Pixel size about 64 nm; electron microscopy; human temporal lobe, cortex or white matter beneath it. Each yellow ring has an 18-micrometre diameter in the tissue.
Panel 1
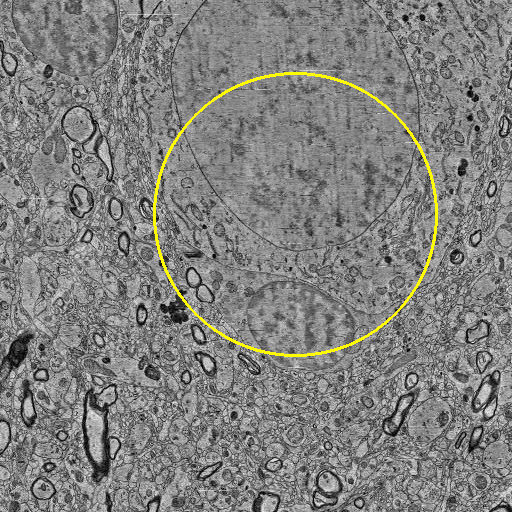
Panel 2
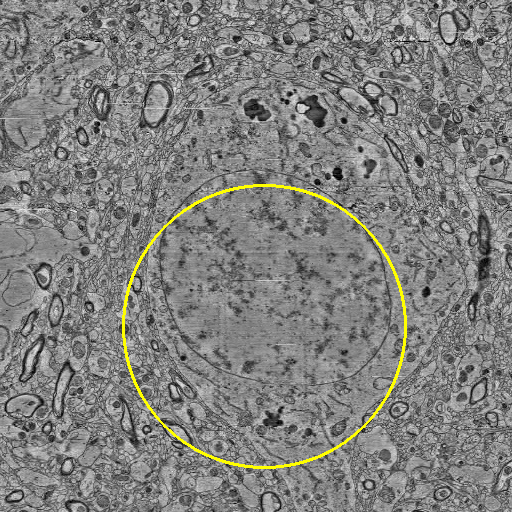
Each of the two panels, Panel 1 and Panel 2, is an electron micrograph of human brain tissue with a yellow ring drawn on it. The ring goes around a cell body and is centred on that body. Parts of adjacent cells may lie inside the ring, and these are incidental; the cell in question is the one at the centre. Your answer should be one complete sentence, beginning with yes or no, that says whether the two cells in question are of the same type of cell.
Yes, the two cells are of the same type.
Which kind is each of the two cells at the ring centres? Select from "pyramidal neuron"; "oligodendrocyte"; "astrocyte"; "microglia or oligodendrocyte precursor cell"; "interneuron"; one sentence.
The second cell is a pyramidal neuron, just as the first is.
